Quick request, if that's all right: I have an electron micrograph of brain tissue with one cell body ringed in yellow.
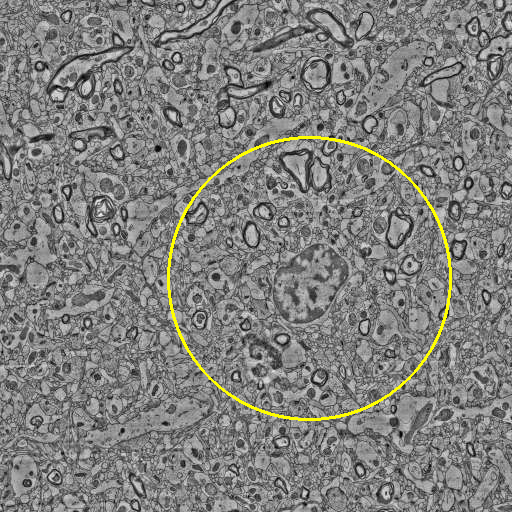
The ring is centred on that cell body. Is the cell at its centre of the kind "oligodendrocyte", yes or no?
no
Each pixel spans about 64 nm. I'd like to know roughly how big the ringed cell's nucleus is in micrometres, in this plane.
In this plane, roughly 5 by 4 micrometres.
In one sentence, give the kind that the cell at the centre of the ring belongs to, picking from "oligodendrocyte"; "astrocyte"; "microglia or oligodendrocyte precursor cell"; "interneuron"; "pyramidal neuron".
In this picture, the ring is centred on a microglial cell or oligodendrocyte precursor cell.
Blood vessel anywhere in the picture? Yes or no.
No, a blood vessel is absent from this picture.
